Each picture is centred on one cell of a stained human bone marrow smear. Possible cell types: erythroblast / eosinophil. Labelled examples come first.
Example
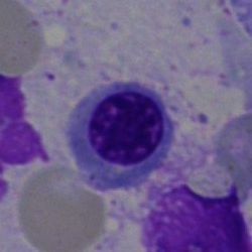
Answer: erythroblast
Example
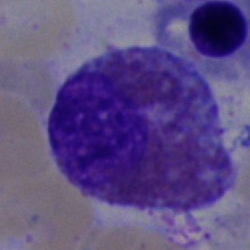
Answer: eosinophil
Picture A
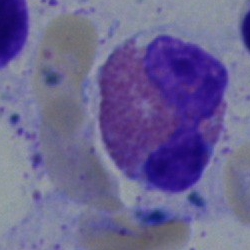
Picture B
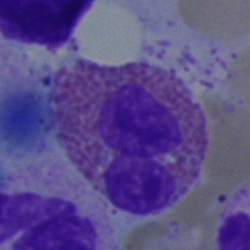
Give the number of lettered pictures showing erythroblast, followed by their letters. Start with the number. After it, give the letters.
0, none of them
